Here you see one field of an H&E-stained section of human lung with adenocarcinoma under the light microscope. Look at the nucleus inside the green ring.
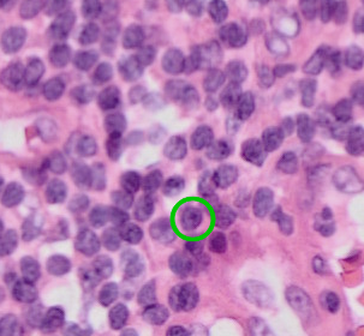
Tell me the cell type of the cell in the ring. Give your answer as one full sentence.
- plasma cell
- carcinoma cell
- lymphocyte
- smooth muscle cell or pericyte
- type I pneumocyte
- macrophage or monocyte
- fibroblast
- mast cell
The cell in the ring is a lymphocyte.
